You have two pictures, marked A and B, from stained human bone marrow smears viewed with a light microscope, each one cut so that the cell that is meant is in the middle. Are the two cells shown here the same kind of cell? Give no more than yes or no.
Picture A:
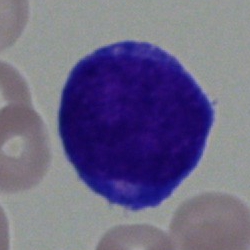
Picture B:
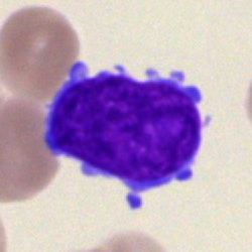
yes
